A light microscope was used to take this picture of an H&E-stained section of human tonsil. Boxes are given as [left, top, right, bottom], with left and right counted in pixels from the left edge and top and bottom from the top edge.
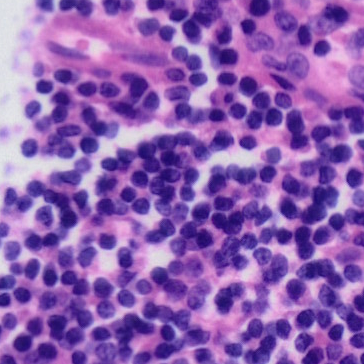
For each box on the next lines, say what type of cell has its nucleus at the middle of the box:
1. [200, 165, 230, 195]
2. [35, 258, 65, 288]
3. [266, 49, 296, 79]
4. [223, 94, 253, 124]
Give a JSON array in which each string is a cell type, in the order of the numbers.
["small lymphocyte", "small lymphocyte", "endothelial cell", "small lymphocyte"]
